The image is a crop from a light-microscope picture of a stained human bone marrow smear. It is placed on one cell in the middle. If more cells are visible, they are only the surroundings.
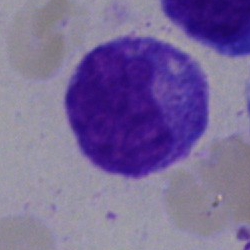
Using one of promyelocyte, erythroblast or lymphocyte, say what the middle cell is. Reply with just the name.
promyelocyte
